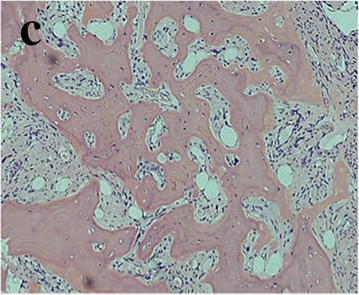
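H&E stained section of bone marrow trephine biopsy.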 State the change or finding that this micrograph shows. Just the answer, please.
Osteosclerosis.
